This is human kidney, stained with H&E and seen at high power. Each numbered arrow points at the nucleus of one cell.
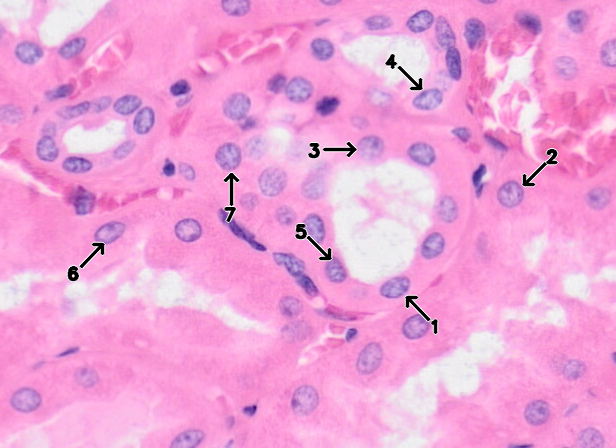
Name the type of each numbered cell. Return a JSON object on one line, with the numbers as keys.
{"1": "loop of Henle or distal tubule cell", "2": "proximal tubule cell", "3": "loop of Henle or distal tubule cell", "4": "collecting duct cell", "5": "loop of Henle or distal tubule cell", "6": "proximal tubule cell", "7": "loop of Henle or distal tubule cell"}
